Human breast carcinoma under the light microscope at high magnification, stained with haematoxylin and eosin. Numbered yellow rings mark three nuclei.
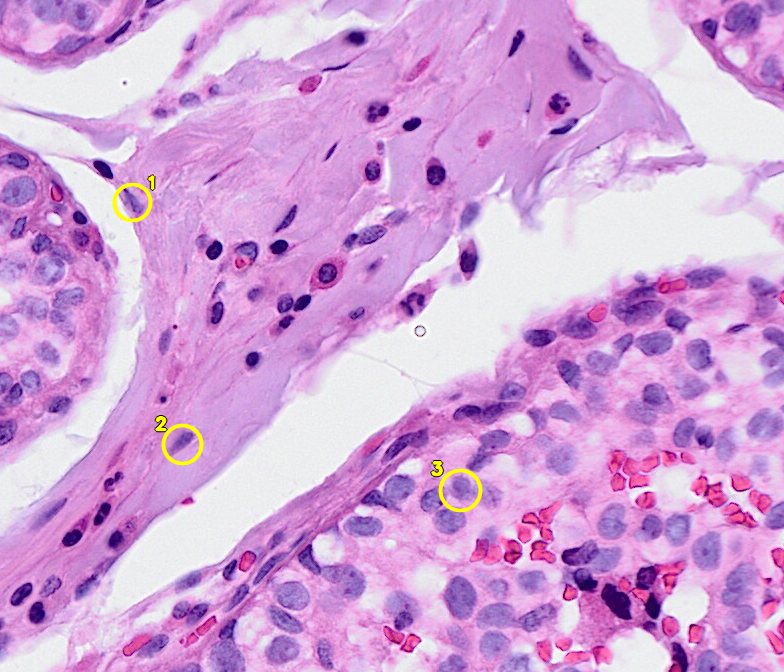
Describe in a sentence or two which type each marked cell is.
Cell 1 is a fibroblast, cell 2 is a fibroblast and cell 3 is a carcinoma cell.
